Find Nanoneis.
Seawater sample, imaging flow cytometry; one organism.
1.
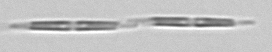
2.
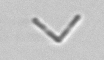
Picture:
2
